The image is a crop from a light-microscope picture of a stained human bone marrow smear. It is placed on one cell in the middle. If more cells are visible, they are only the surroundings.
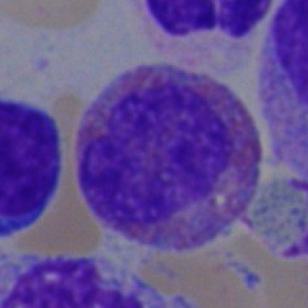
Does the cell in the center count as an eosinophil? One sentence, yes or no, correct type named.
Yes, the cell in the middle of the crop is an eosinophil.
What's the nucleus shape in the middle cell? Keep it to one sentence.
There is one compact nucleus, and its shape is round, oval or kidney-like.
